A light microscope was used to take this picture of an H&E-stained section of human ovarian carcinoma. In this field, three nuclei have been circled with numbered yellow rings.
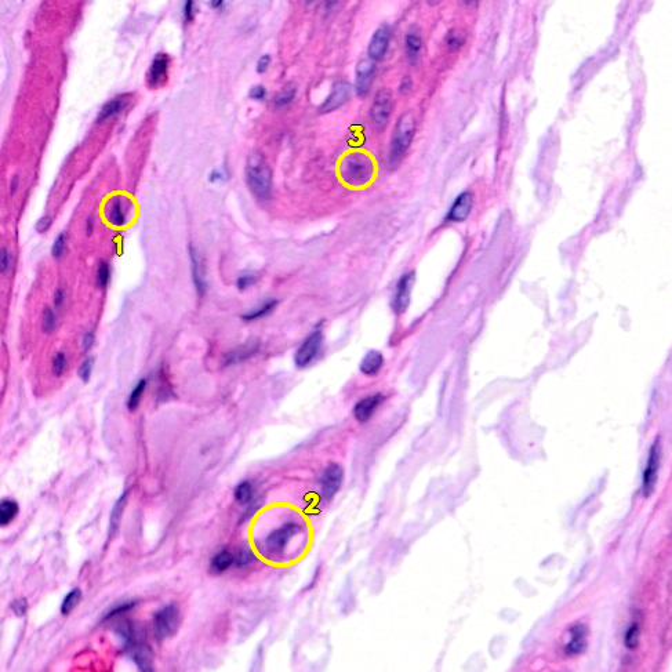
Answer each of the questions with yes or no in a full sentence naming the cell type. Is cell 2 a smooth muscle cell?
No, number 2 corresponds to an endothelial cell, not a smooth muscle cell.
